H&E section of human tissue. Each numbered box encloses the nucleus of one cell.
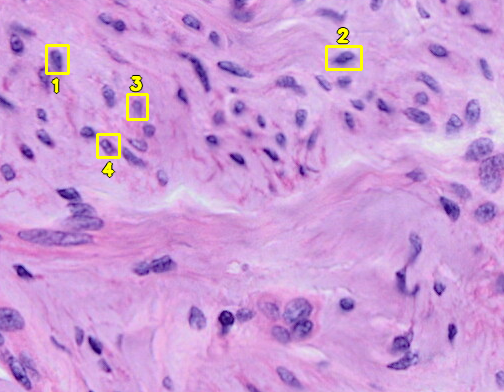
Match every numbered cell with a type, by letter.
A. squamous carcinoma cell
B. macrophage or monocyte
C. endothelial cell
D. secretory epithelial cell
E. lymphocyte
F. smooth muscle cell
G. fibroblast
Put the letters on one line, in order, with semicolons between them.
G; G; F; F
